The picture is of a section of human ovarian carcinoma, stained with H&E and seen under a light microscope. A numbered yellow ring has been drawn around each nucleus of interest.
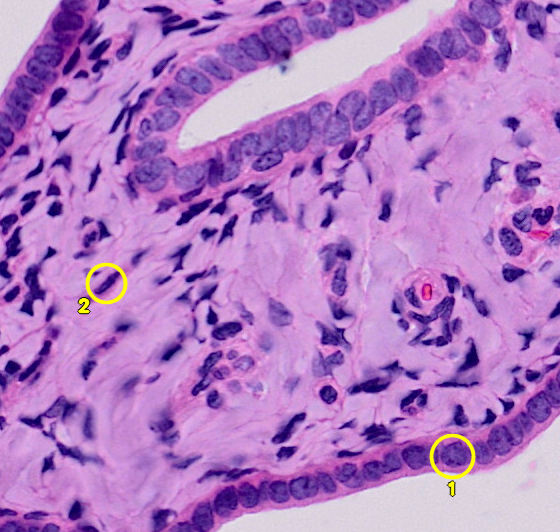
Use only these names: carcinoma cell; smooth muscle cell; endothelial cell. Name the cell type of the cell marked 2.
endothelial cell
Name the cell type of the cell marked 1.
carcinoma cell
